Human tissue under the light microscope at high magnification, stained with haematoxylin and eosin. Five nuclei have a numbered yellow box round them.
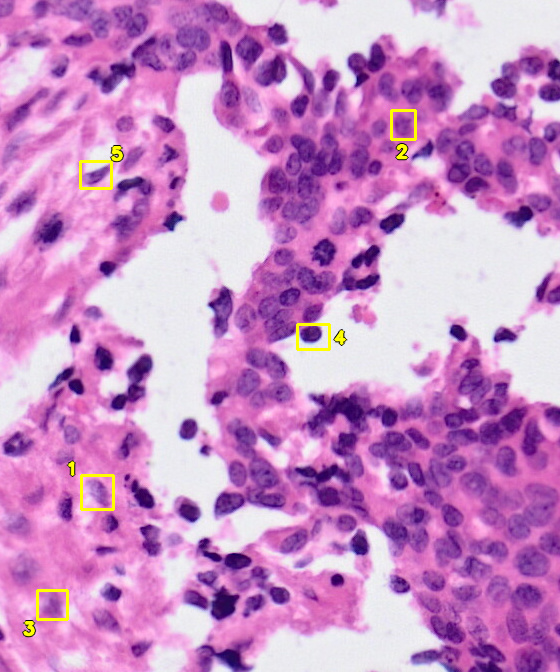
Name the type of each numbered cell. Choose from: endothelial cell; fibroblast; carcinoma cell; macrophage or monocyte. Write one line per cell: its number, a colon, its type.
1: fibroblast
2: carcinoma cell
3: fibroblast
4: carcinoma cell
5: fibroblast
